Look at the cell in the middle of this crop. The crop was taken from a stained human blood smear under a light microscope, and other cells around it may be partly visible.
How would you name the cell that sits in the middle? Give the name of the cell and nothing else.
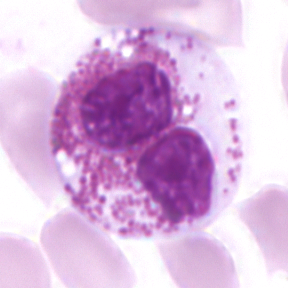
eosinophil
